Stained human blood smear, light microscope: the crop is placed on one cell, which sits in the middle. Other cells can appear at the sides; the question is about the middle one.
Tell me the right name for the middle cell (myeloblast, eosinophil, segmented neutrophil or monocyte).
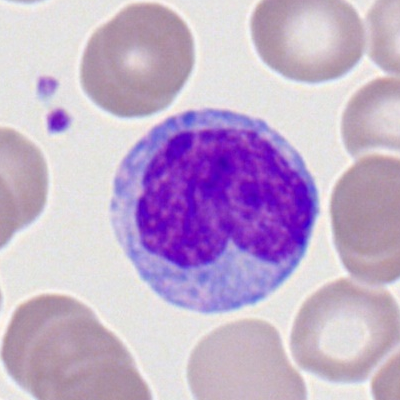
monocyte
